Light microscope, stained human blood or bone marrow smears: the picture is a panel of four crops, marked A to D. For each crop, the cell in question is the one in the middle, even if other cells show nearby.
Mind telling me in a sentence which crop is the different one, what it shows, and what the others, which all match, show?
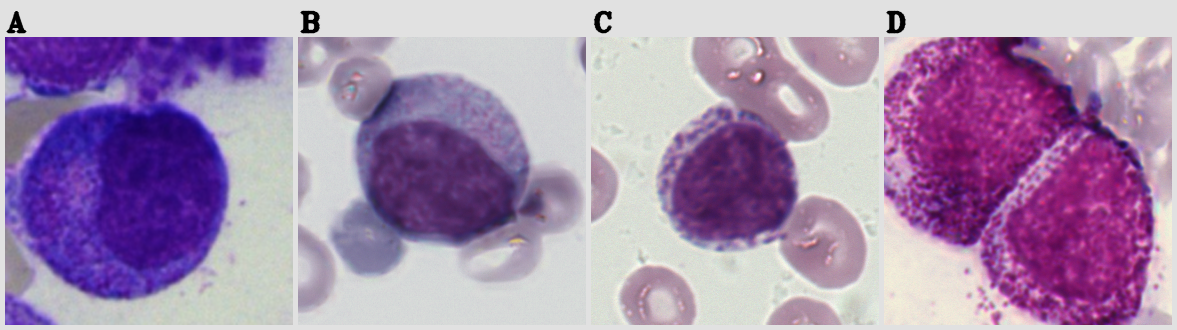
The different one is crop C, which is a myelocyte; the rest all show promyelocytes.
